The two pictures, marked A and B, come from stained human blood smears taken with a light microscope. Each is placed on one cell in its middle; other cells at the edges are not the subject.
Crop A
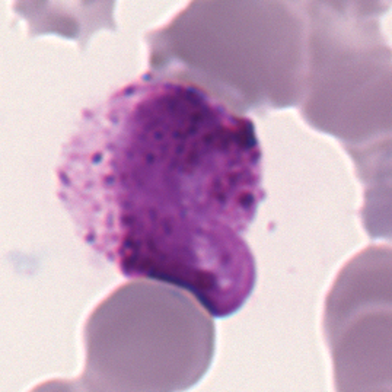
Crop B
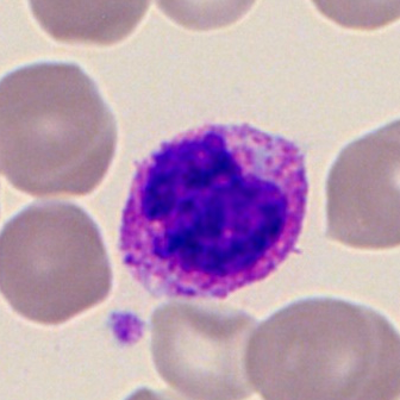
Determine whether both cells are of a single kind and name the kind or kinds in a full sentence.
Yes, as for both crops, the cells shown are basophils.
